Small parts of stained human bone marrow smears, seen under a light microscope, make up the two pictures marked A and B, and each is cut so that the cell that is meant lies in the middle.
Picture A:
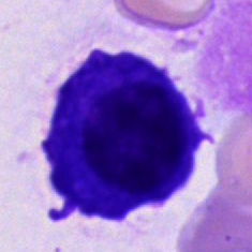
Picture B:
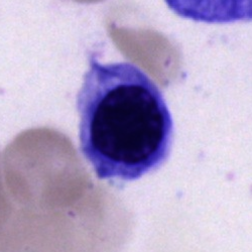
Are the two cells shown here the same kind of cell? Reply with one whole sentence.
No; the cell in picture A is a plasma cell, while the one in picture B is an erythroblast.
